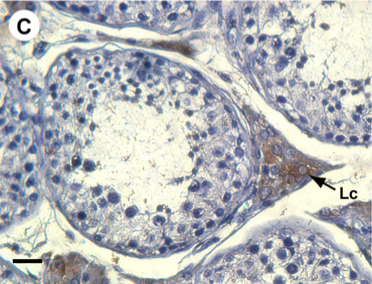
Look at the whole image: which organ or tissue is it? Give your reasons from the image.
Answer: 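Round tubule cross-sections lined by stratified epithelium with many blue nuclei. Tubules bounded by thin walls with narrow interstitial spaces between them. On this evidence: testis.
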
